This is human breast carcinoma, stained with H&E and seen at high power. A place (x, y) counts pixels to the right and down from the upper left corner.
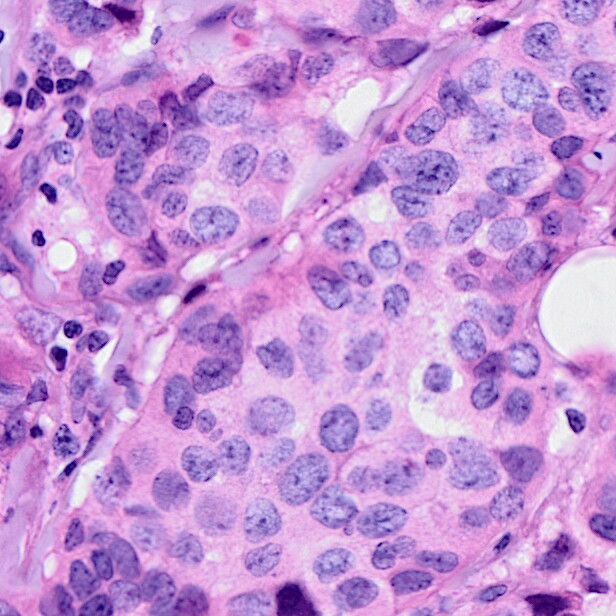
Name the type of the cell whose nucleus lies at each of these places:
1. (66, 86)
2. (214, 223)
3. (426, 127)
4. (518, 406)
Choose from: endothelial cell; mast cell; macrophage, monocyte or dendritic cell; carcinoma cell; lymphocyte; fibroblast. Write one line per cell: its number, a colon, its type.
1: lymphocyte
2: carcinoma cell
3: carcinoma cell
4: carcinoma cell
